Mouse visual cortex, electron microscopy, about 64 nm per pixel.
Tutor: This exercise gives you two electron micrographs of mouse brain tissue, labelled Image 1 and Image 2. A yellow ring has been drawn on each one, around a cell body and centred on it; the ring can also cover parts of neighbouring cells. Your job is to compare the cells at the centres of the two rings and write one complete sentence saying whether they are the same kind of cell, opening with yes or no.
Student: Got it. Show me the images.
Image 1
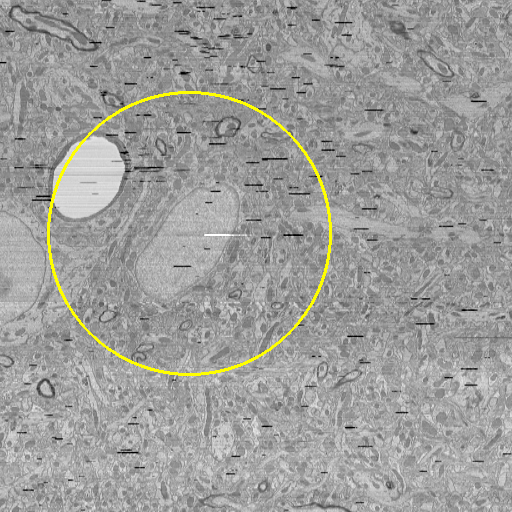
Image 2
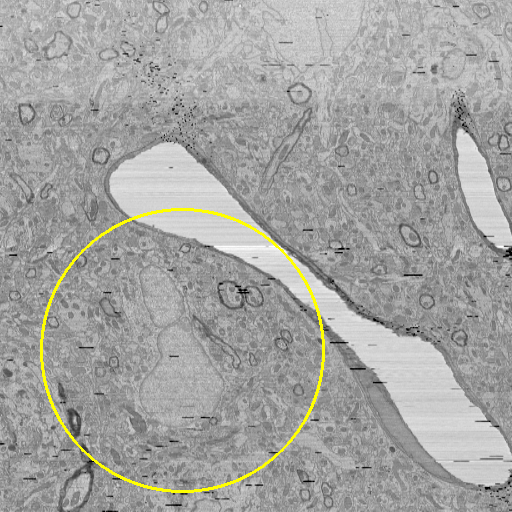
Yes, the two cells belong to the same kind.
